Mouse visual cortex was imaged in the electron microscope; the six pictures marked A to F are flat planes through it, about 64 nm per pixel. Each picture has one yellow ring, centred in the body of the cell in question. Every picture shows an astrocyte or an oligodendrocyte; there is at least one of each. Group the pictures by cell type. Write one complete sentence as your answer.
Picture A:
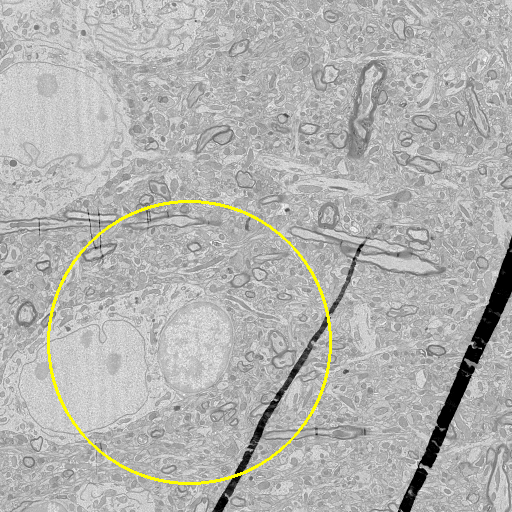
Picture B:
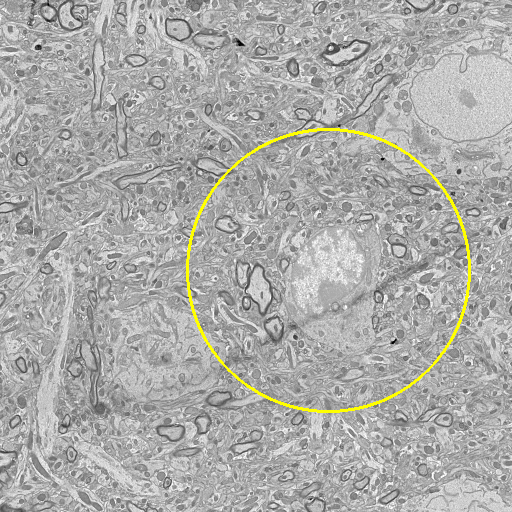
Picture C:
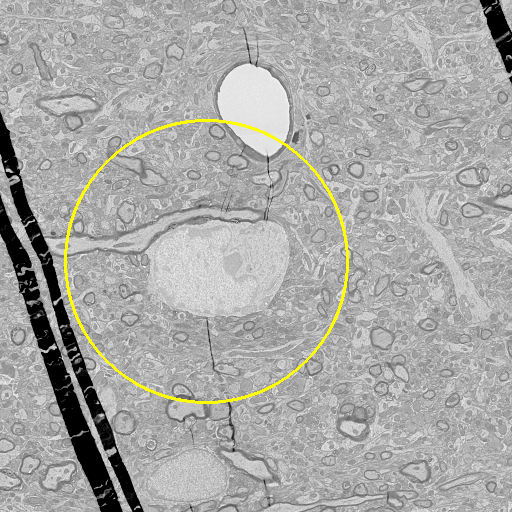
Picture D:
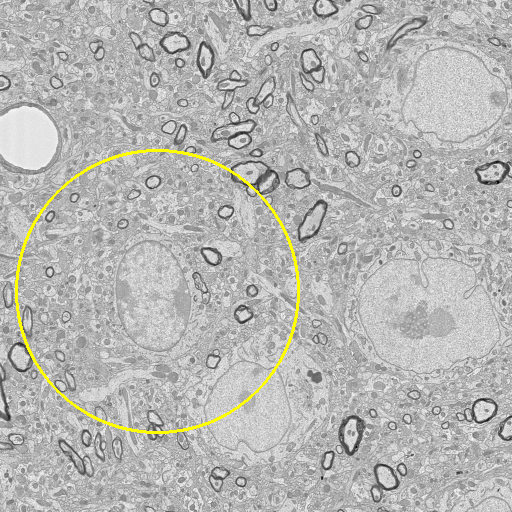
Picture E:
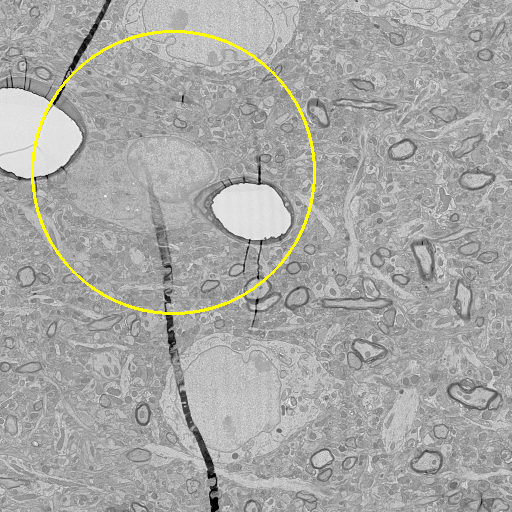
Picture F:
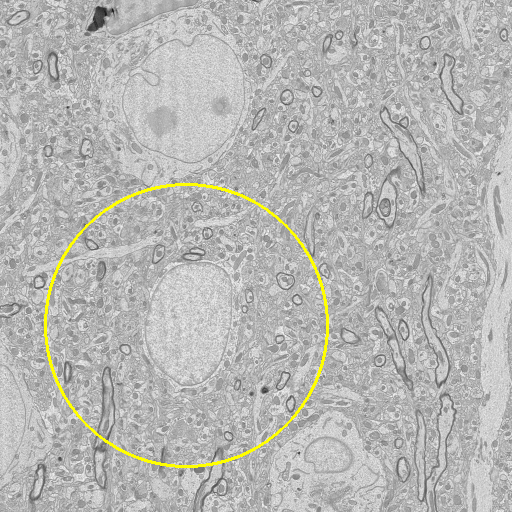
Pictures C and F show astrocytes, while pictures A, B, D and E show oligodendrocytes.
